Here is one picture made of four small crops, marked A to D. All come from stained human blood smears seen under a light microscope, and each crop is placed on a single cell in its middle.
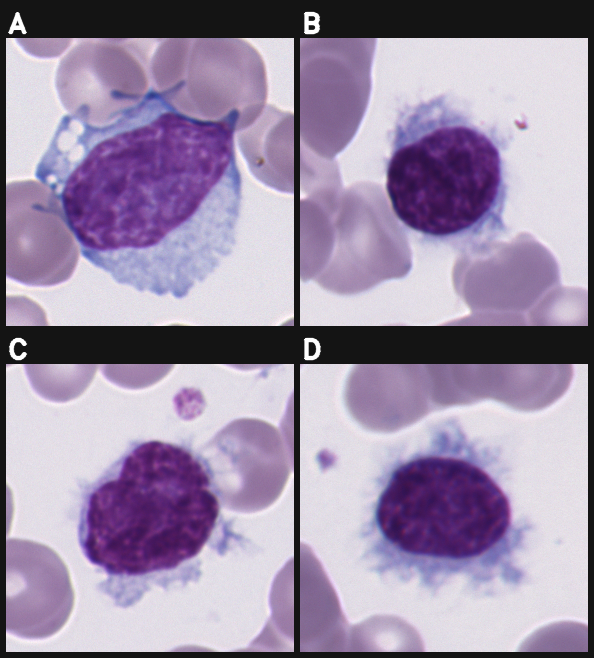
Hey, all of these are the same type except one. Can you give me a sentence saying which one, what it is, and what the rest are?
In this set, all crops show hairy cells apart from crop A, which is a blast.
